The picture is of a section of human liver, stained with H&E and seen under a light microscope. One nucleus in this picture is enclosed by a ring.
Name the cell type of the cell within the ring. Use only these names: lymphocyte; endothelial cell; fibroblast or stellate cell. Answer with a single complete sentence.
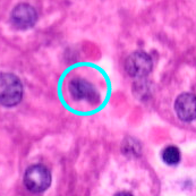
In terms of identity, the cell within the ring is an endothelial cell.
